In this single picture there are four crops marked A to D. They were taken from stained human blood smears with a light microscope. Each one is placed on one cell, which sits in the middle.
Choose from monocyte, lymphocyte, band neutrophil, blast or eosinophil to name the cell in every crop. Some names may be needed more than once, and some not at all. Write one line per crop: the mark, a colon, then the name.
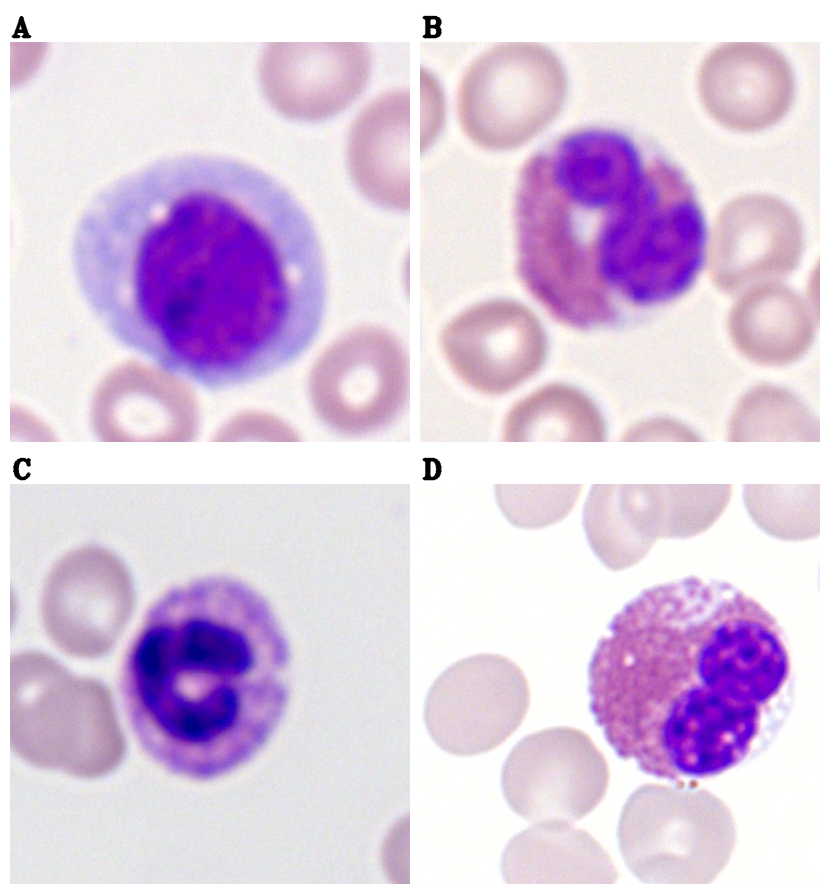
A: monocyte
B: eosinophil
C: band neutrophil
D: eosinophil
